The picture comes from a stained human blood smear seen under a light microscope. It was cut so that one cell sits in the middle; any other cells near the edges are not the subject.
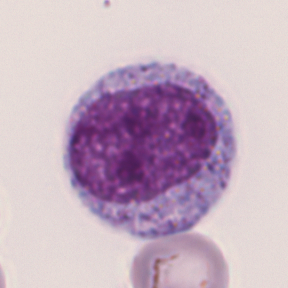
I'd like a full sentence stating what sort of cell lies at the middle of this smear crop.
The cell found in the middle of this crop is a myelocyte.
